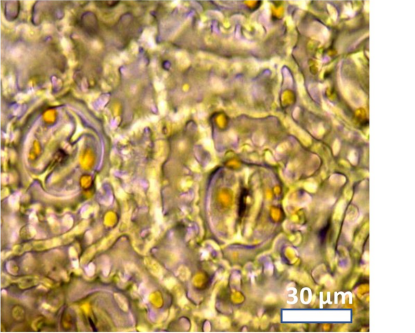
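Two stomata are visible, each a narrow pore flanked by a pair of curved, kidney-shaped guard cells. Each stoma is enclosed by a ring of surrounding epidermal cells. The ordinary epidermal cells are polygonal with thick anticlinal walls that look beaded and slightly wavy. Small round yellowish-brown droplets and granules are scattered over the surface.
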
